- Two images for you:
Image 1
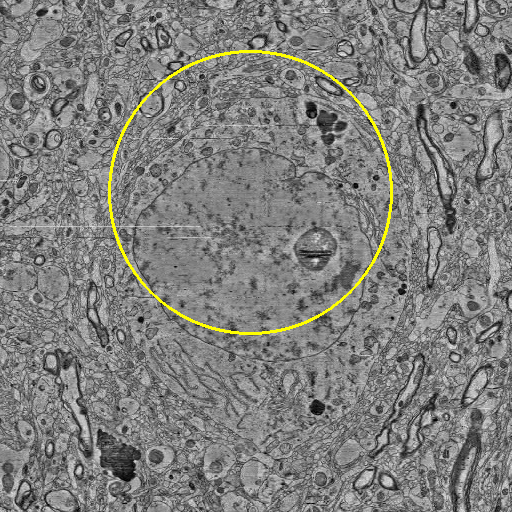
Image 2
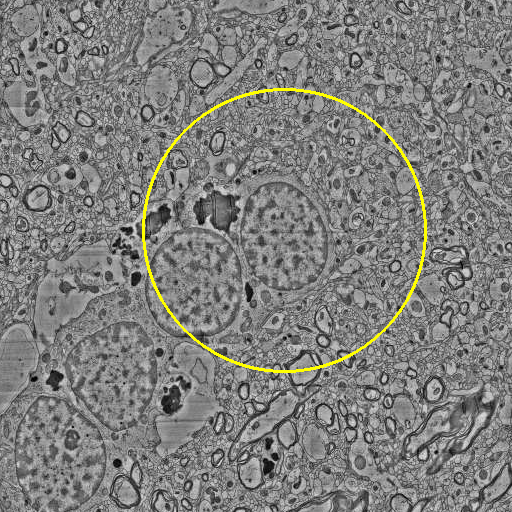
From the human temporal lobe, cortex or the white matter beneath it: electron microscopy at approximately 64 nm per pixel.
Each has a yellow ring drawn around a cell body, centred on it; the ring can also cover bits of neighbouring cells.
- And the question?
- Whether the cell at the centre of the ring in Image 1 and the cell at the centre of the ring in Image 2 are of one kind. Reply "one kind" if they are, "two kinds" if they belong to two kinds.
two kinds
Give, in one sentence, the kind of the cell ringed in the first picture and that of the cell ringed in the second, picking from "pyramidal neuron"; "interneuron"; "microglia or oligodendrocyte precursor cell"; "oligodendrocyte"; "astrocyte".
For the first picture it is a pyramidal neuron; for the second, an oligodendrocyte.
